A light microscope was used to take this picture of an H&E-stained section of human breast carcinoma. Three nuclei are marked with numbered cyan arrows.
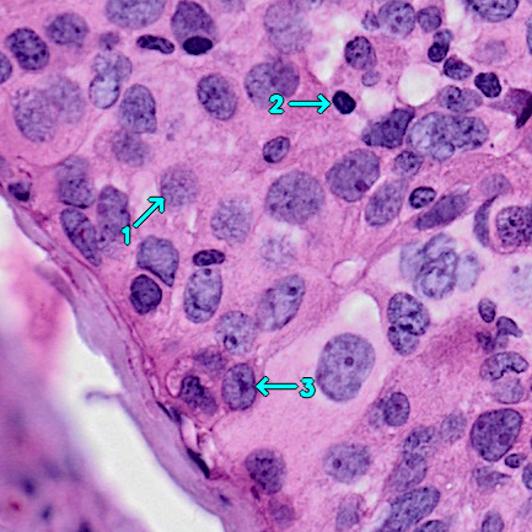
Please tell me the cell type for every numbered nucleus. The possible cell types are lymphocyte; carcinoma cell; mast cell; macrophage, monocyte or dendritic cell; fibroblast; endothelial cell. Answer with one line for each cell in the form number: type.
1: carcinoma cell
2: lymphocyte
3: carcinoma cell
